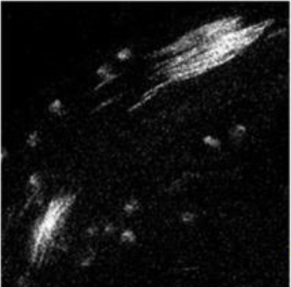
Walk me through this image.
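This is the spermatid elongation region of a testis, with nuclear staining showing groups of developing spermatids. Their nuclei are slender and needle-like, packed side by side into bright, parallel bundles. A few such bundles lie apart from each other in a mostly dark field, with scattered small rounded dots of staining between them.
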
